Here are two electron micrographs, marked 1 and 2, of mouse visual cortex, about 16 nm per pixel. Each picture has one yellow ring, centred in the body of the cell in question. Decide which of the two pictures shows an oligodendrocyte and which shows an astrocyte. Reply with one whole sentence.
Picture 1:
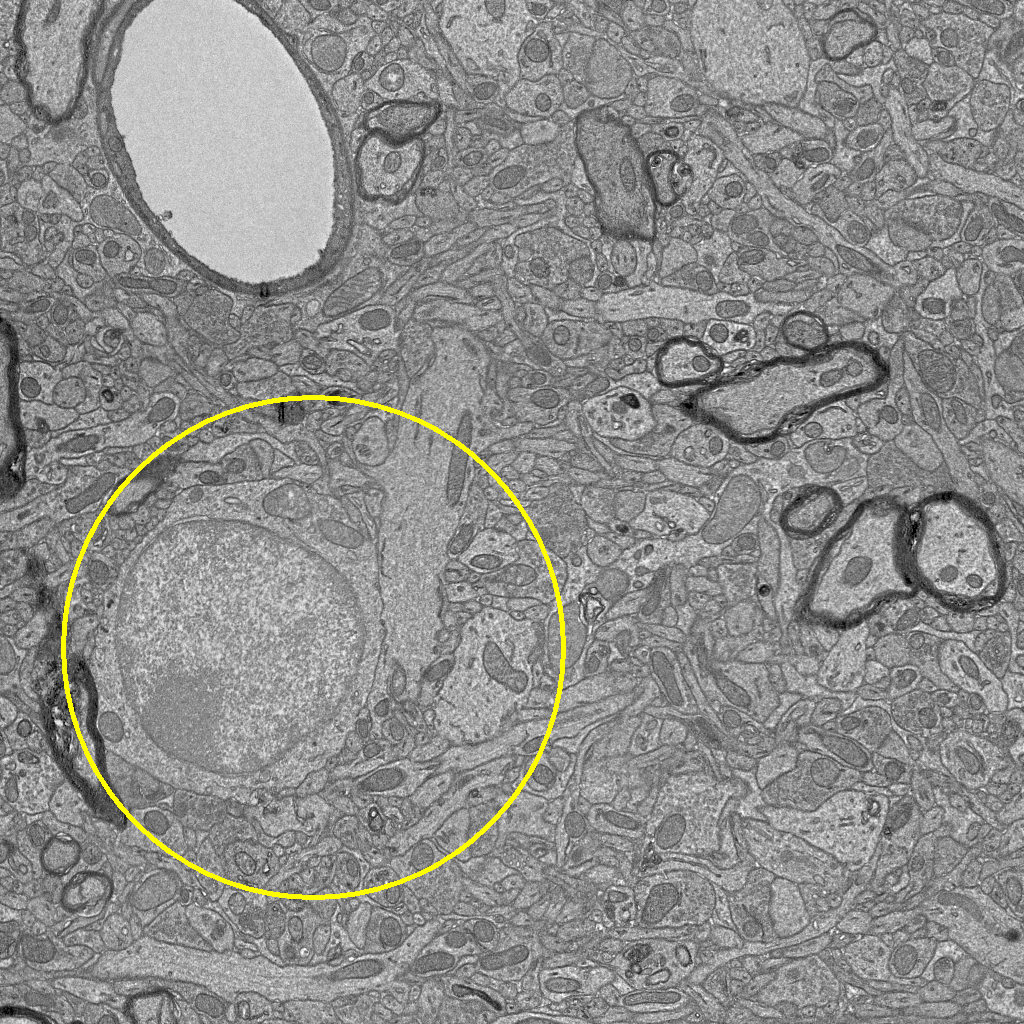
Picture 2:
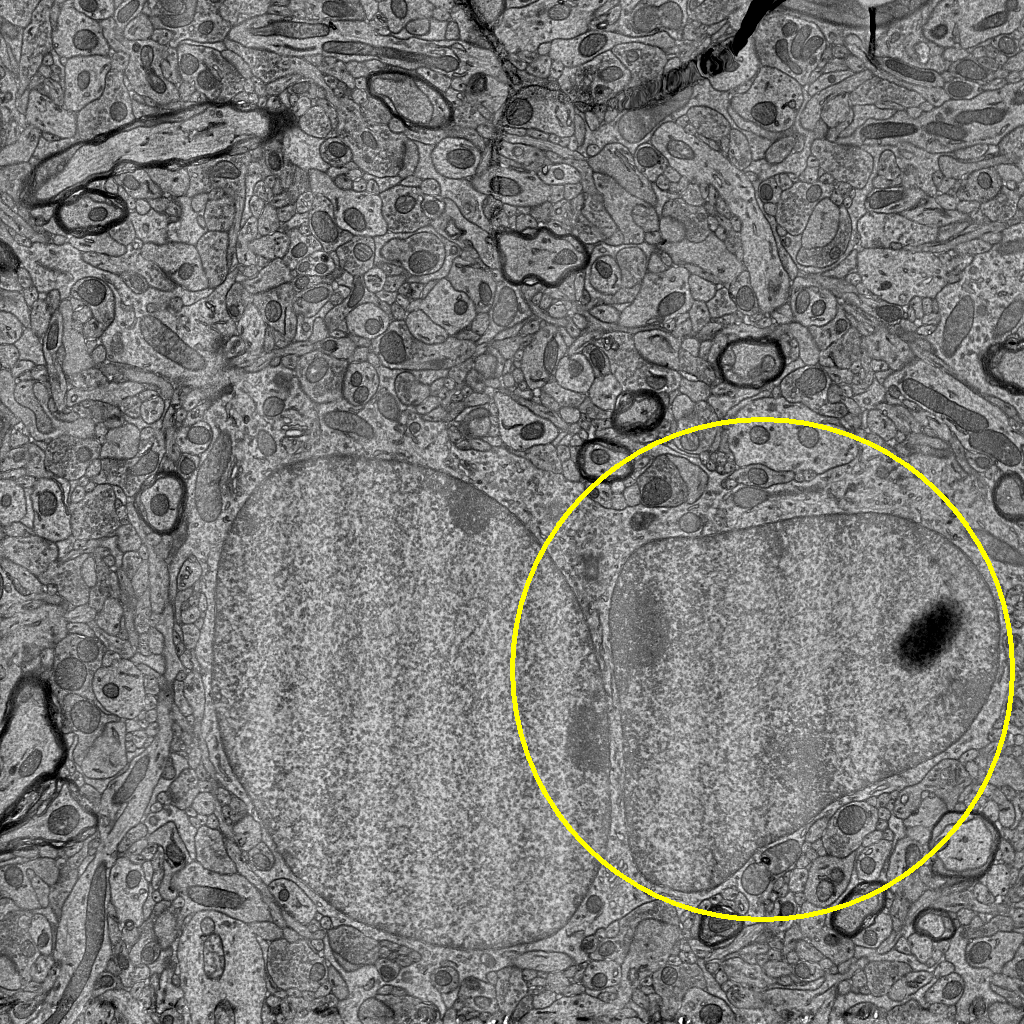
Picture 2 shows an astrocyte, while picture 1 shows an oligodendrocyte.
